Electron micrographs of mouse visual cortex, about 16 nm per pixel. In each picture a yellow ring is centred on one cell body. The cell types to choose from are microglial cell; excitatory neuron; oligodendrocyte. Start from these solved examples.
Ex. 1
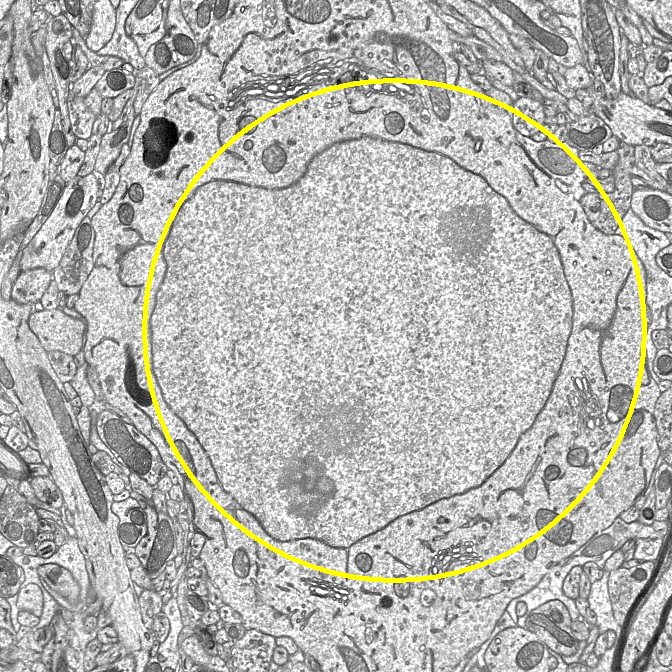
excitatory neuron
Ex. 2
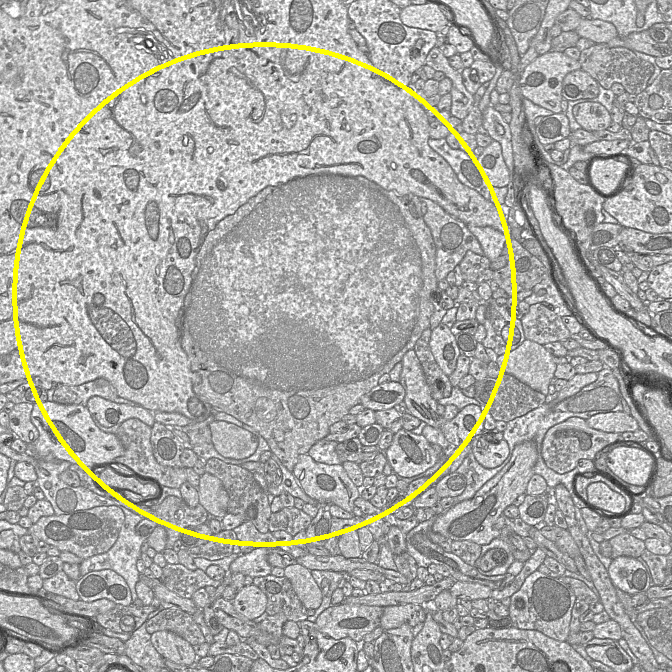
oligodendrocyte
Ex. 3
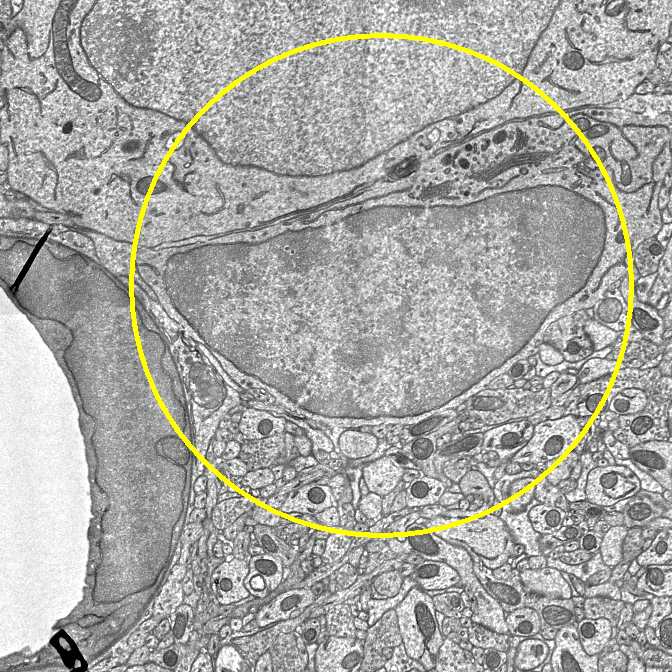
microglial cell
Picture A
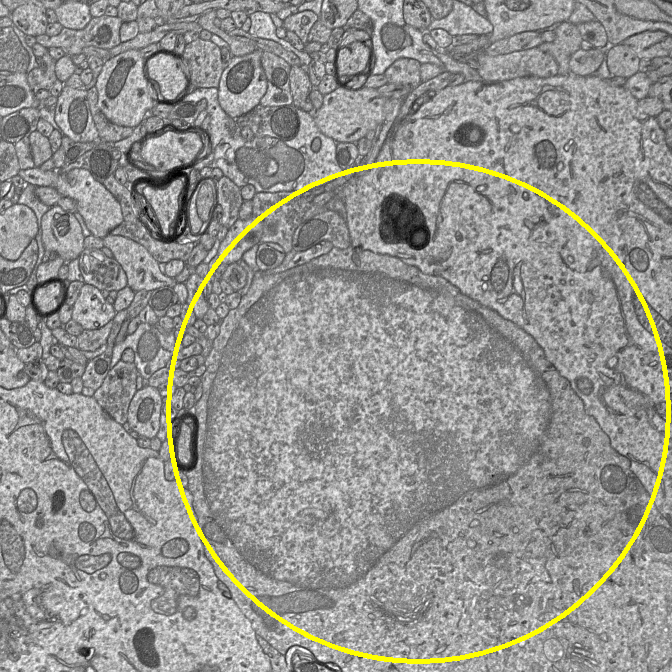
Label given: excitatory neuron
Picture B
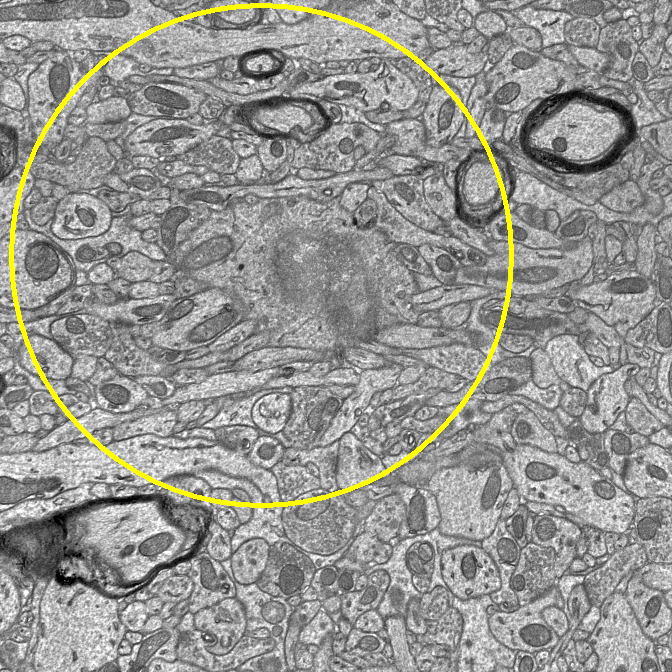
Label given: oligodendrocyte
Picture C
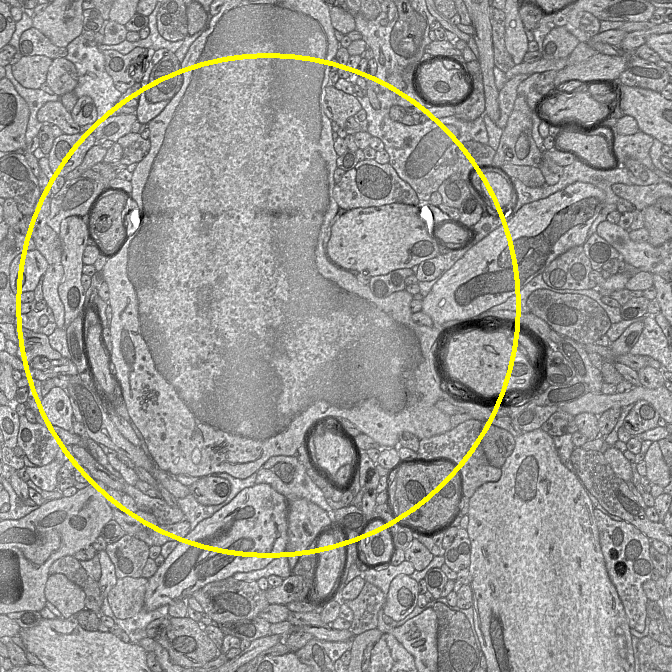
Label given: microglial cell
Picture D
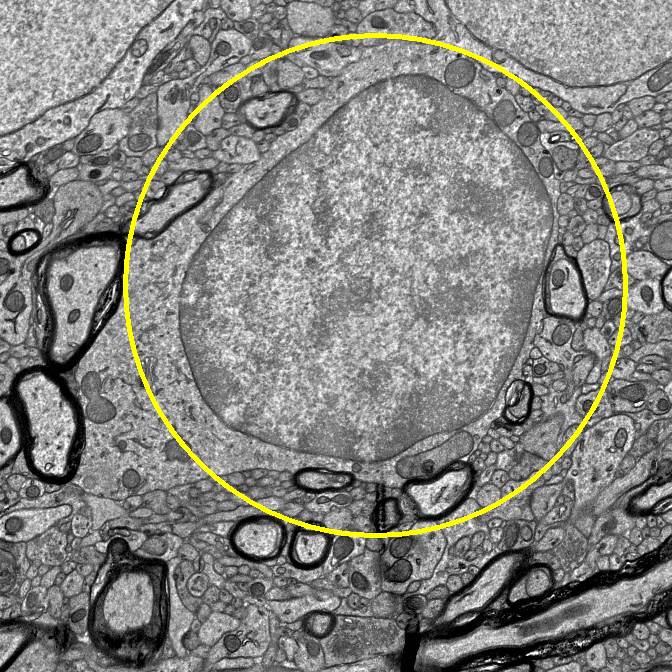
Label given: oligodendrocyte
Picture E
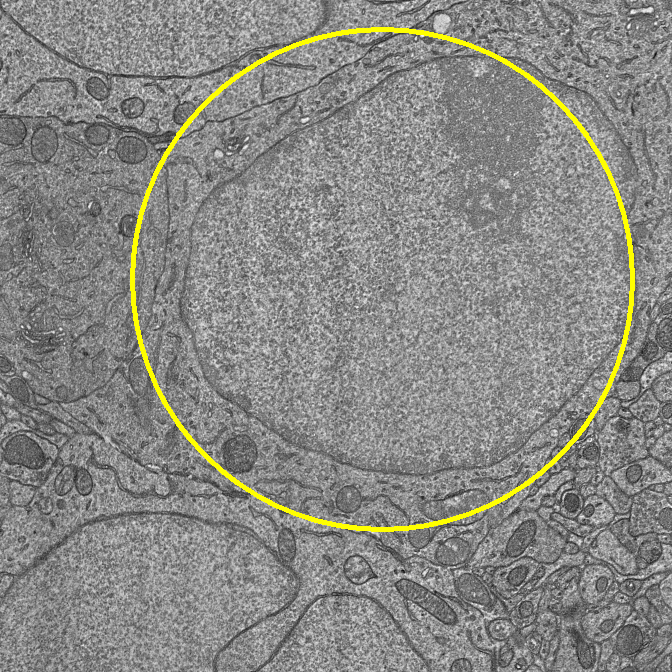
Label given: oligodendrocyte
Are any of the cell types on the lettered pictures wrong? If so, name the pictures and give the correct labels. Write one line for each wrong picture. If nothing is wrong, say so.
A should be oligodendrocyte, not excitatory neuron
